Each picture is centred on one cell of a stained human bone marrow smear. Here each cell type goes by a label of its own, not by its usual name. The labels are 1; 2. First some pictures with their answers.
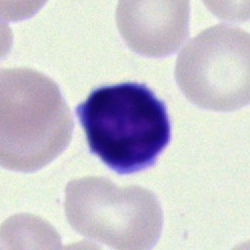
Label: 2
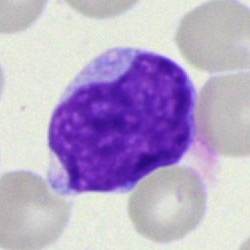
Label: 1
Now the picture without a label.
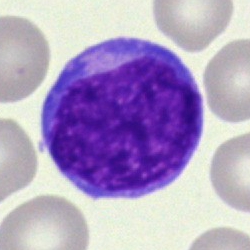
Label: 1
